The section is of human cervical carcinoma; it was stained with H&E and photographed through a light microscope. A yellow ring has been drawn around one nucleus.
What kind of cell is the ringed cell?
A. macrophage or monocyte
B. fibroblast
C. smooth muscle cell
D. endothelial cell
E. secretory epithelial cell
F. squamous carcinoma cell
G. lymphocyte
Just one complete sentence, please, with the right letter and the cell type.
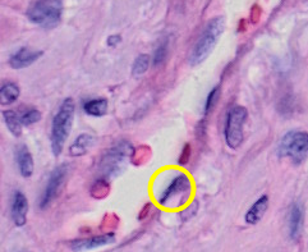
Best answer: option D, with the ringed cell being an endothelial cell.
